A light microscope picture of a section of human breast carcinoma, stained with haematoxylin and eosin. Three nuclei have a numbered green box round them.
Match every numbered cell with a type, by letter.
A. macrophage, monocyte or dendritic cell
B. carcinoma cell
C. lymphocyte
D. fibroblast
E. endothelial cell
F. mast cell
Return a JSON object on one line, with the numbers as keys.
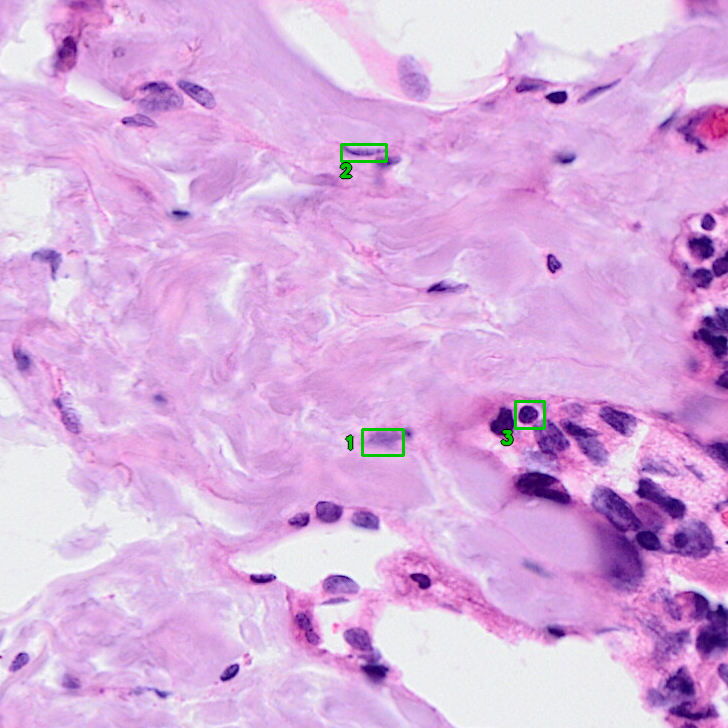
{"1": "D", "2": "D", "3": "C"}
